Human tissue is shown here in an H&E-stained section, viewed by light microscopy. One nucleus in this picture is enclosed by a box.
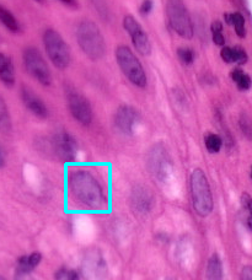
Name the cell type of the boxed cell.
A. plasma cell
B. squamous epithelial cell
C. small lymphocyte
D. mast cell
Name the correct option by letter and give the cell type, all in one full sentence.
The correct option is B, as the boxed cell is a squamous epithelial cell.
